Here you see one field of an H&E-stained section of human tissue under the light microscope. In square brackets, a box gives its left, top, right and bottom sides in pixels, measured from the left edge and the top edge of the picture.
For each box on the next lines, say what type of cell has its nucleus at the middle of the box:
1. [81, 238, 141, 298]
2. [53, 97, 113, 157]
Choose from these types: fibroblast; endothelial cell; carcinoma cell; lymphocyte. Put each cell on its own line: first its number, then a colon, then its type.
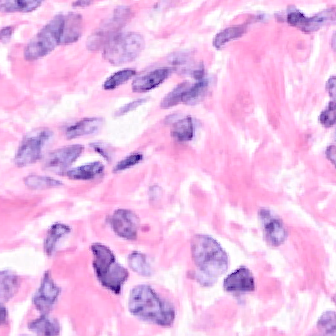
1: carcinoma cell
2: endothelial cell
